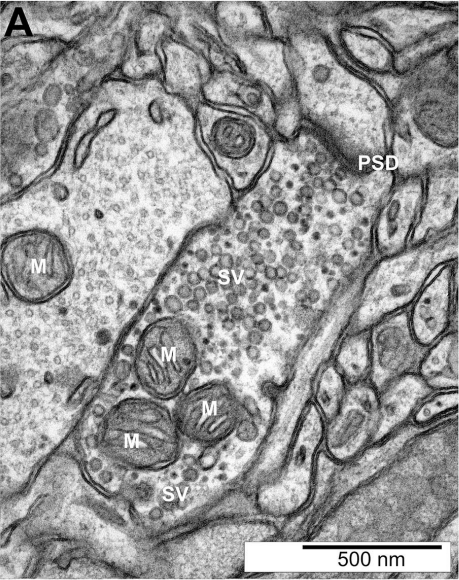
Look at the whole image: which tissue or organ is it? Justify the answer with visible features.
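Neuropil. Many tightly packed membrane-bound profiles of neuronal processes. Terminals filled with small round vesicles and mitochondria.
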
